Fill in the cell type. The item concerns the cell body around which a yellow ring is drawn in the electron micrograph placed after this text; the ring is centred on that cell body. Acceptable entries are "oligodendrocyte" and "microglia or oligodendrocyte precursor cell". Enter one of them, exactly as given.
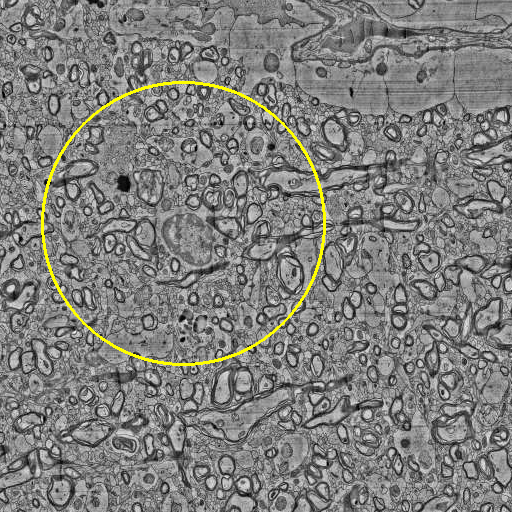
oligodendrocyte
